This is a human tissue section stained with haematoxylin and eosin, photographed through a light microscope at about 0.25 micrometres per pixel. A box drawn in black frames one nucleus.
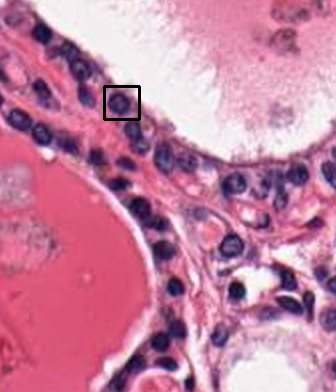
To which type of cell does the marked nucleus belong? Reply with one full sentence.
The cell containing the marked nucleus is a thyroid follicular cell.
